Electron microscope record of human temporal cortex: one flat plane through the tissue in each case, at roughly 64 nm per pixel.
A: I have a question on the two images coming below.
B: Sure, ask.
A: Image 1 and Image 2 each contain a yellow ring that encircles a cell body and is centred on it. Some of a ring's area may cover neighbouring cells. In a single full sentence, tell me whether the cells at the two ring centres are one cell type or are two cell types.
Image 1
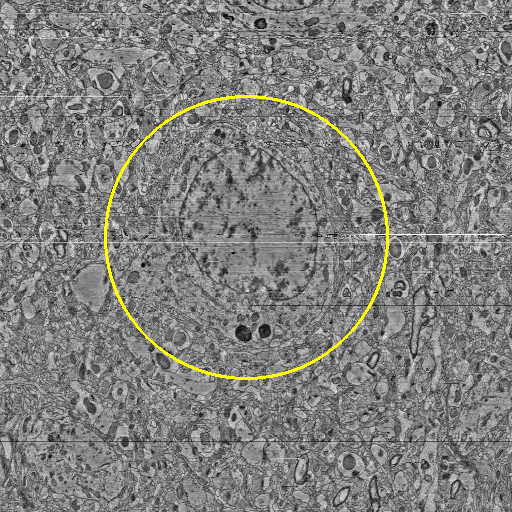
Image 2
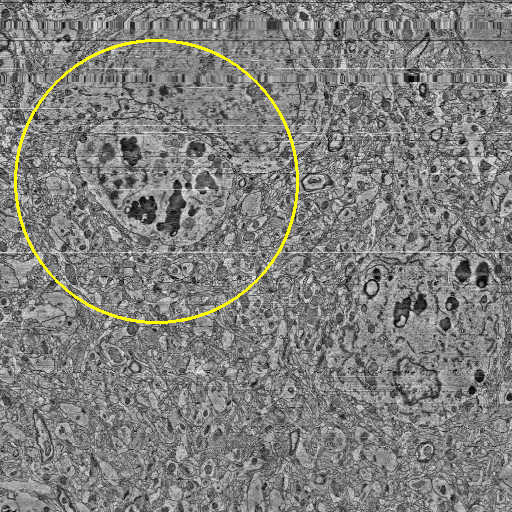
As for the ring-centre cells, the one in Image 1 and the one in Image 2 are two cell types.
